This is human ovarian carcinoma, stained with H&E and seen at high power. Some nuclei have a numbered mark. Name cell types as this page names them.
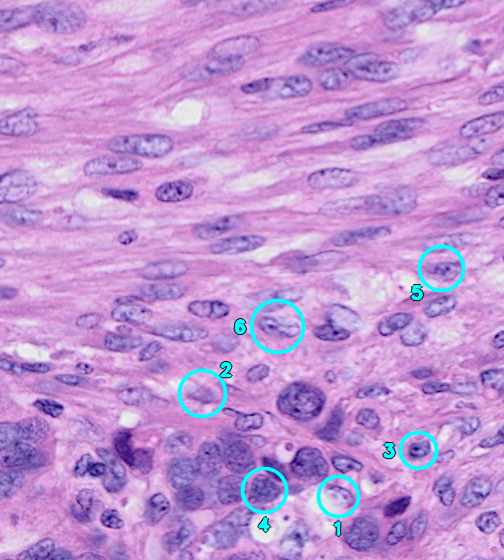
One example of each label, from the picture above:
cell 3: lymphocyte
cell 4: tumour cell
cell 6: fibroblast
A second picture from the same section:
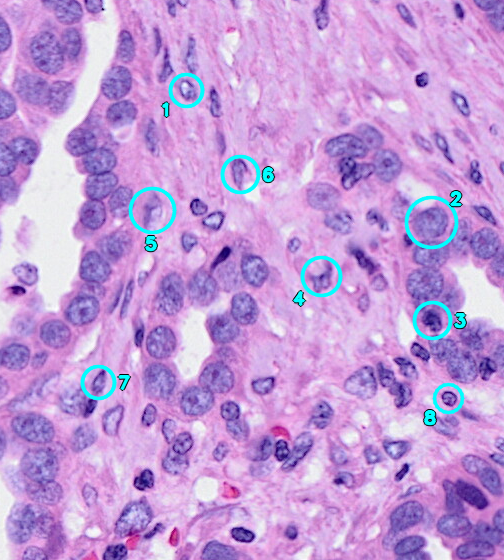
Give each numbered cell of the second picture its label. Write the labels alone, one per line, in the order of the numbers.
fibroblast
tumour cell
lymphocyte
fibroblast
fibroblast
fibroblast
fibroblast
lymphocyte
